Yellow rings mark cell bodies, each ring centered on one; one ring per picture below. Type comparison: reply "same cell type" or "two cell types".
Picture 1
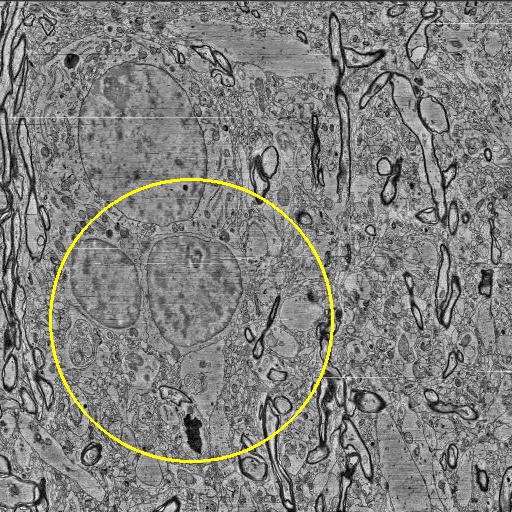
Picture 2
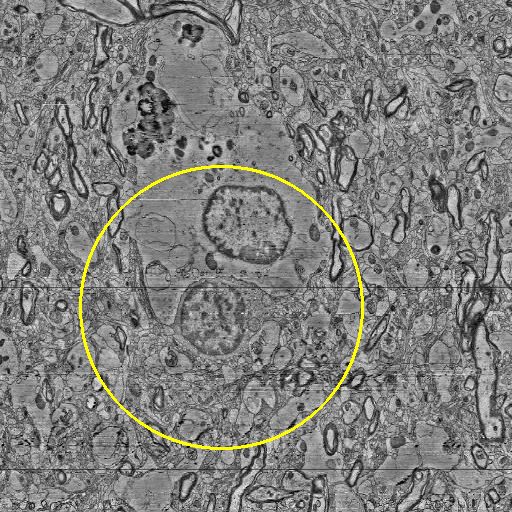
same cell type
